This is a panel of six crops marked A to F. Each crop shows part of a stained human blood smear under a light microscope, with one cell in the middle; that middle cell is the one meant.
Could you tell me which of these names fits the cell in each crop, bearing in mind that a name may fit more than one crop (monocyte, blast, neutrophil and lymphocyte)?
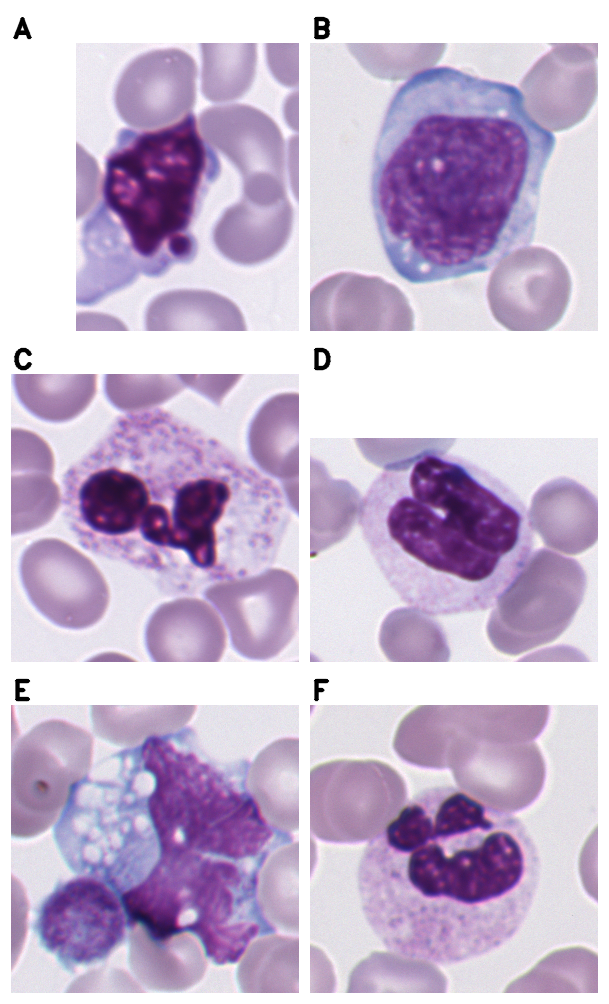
A: lymphocyte
B: blast
C: neutrophil
D: neutrophil
E: monocyte
F: neutrophil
